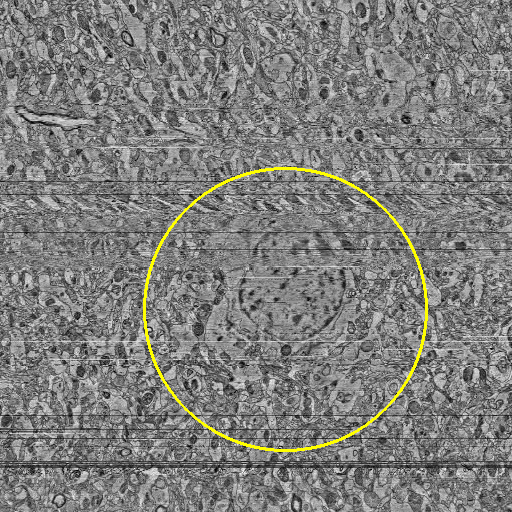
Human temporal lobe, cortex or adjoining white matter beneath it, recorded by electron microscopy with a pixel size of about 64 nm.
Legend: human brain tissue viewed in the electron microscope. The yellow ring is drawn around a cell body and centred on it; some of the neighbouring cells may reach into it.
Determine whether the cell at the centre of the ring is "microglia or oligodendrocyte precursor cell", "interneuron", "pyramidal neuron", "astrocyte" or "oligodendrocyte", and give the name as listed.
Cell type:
astrocyte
